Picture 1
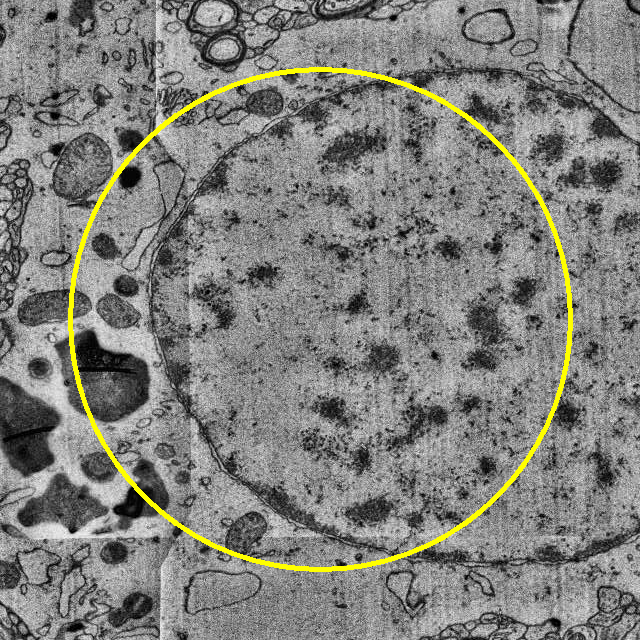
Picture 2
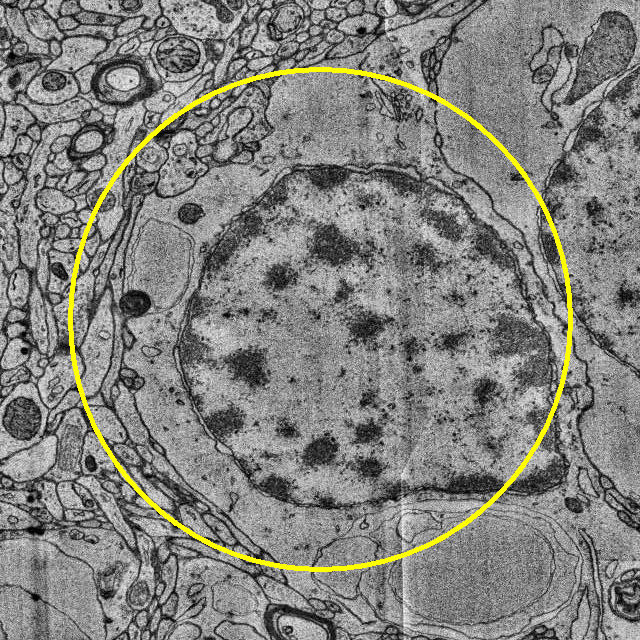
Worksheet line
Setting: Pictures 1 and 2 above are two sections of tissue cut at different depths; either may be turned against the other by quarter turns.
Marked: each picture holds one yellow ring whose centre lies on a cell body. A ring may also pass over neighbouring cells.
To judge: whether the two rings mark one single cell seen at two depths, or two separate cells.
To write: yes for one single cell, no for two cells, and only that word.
yes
